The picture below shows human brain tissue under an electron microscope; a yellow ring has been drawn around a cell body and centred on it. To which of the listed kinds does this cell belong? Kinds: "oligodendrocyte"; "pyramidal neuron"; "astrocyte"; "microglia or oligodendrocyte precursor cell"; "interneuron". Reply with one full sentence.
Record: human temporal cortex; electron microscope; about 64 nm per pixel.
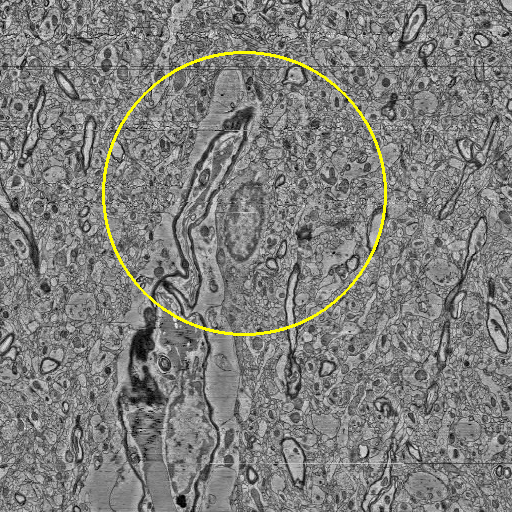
It is an oligodendrocyte that the yellow ring in the picture is centred on.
